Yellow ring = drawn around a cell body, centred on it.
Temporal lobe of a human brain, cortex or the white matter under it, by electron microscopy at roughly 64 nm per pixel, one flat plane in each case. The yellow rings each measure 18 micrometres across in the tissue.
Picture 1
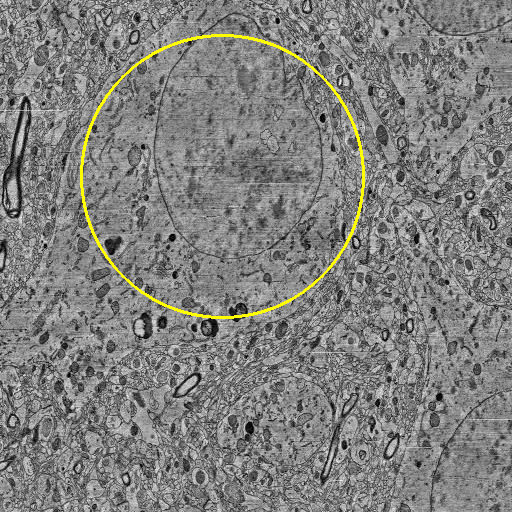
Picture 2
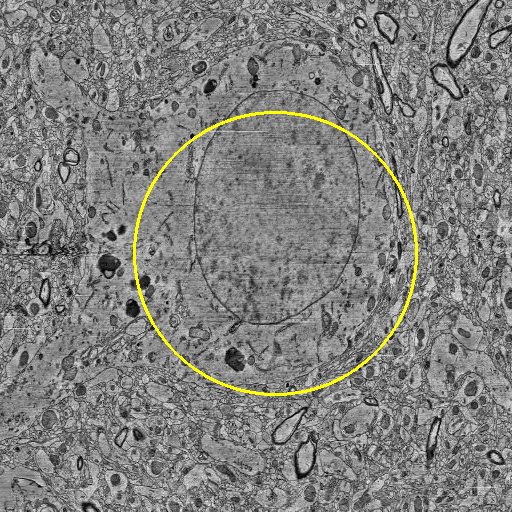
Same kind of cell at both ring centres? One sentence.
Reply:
Yes, they are the same kind of cell.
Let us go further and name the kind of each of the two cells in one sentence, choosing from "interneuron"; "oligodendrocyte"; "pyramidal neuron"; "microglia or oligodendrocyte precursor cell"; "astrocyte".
The first and the second cell are each a pyramidal neuron.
